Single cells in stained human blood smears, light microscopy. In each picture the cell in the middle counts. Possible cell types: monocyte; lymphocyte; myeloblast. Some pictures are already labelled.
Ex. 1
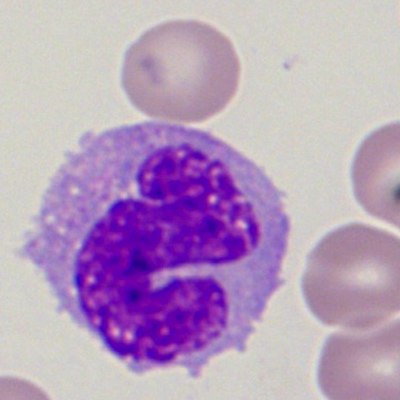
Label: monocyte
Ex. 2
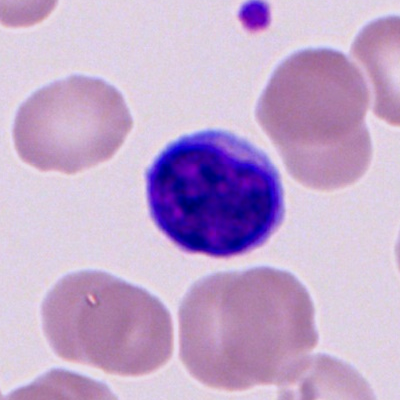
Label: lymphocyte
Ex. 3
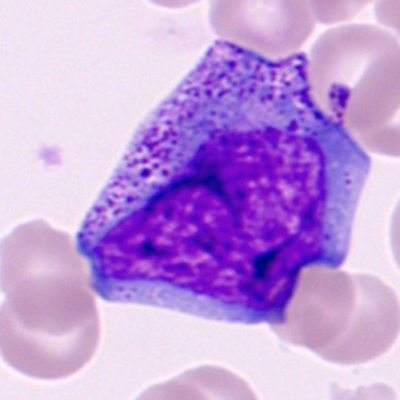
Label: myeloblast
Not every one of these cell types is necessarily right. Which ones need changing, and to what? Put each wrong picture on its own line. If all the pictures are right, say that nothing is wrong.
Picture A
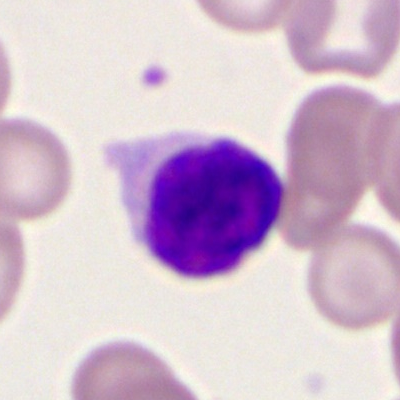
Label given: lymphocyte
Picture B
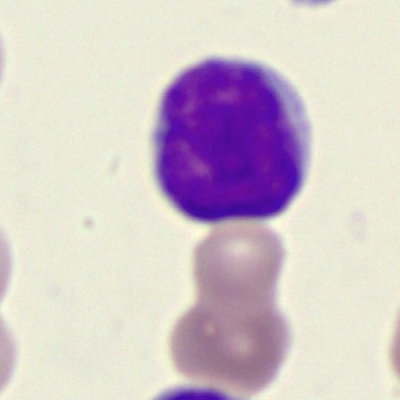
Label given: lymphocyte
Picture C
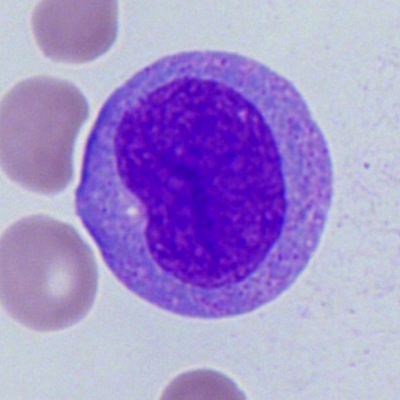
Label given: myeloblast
B: change lymphocyte to myeloblast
